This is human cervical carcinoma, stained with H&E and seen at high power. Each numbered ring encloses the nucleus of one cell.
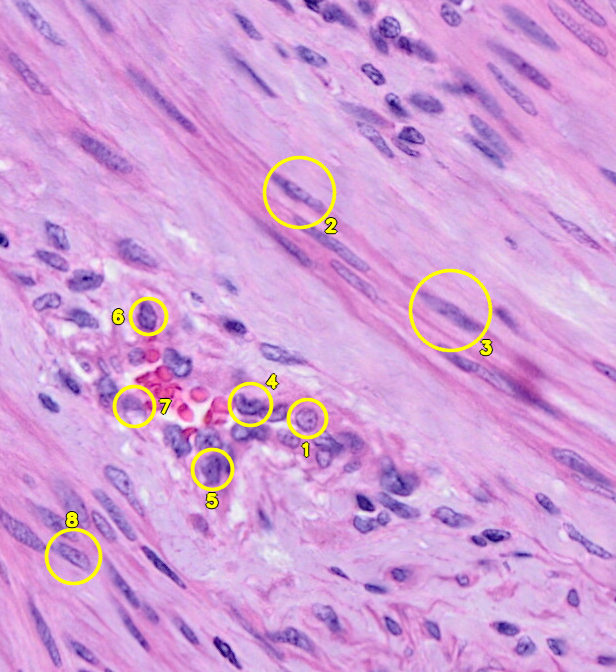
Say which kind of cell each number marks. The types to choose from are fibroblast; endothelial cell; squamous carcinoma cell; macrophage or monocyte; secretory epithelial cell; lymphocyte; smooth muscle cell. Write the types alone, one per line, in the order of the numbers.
endothelial cell
smooth muscle cell
smooth muscle cell
endothelial cell
endothelial cell
endothelial cell
endothelial cell
smooth muscle cell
